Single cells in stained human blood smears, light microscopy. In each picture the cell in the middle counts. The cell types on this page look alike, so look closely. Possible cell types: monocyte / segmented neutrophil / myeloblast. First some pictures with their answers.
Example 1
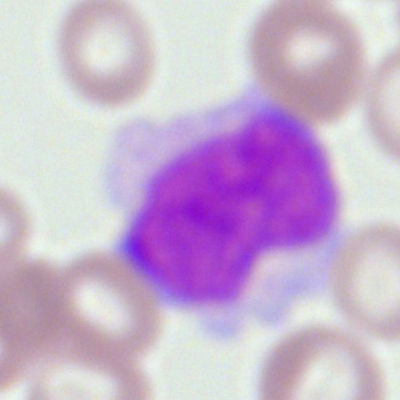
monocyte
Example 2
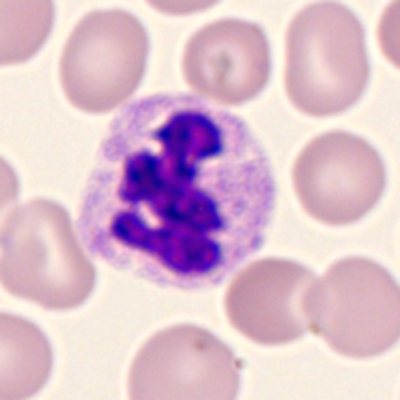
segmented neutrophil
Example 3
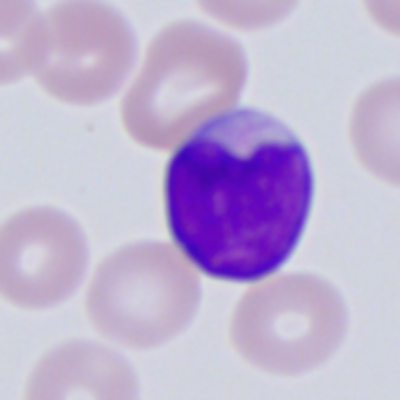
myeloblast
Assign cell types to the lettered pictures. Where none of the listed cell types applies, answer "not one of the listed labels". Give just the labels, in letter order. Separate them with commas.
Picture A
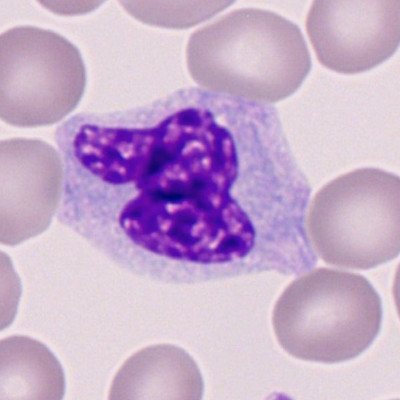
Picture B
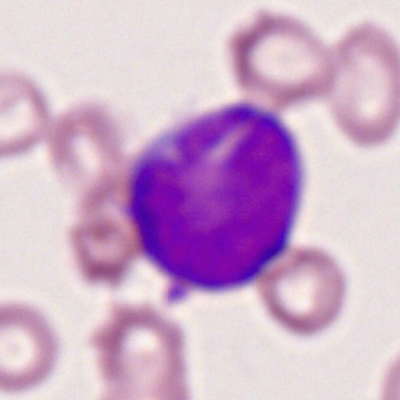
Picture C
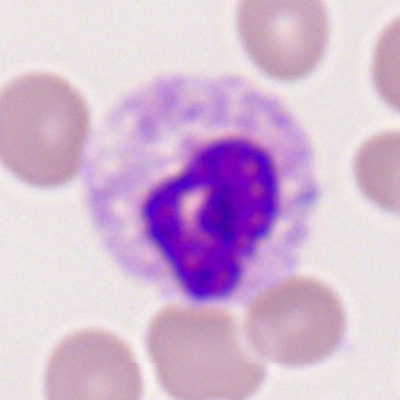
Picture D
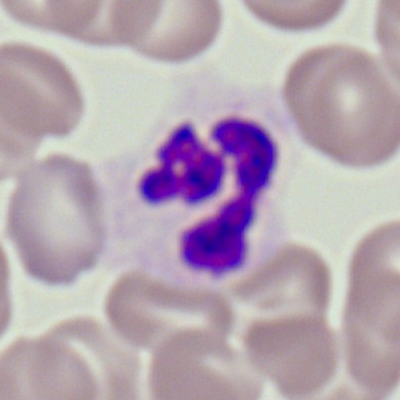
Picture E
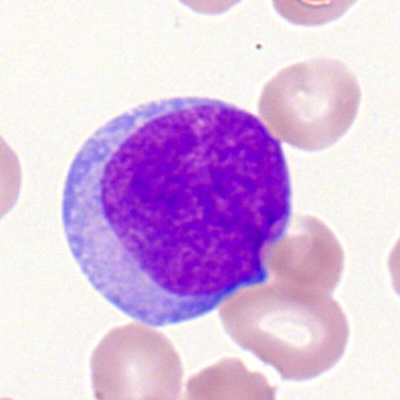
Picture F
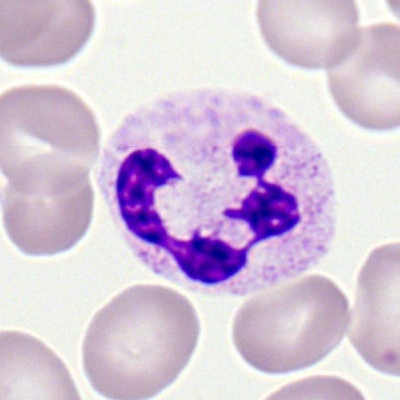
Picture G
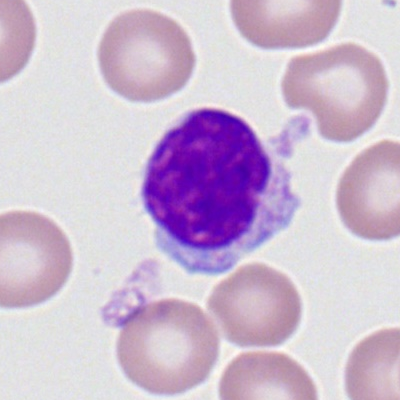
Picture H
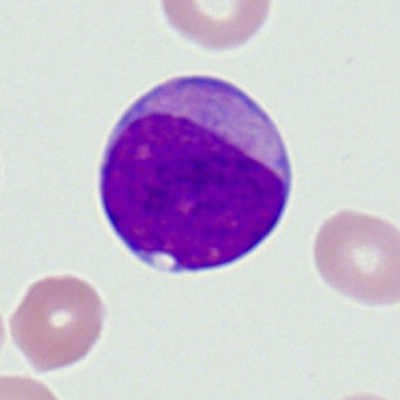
monocyte, myeloblast, segmented neutrophil, segmented neutrophil, myeloblast, segmented neutrophil, not one of the listed labels, myeloblast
